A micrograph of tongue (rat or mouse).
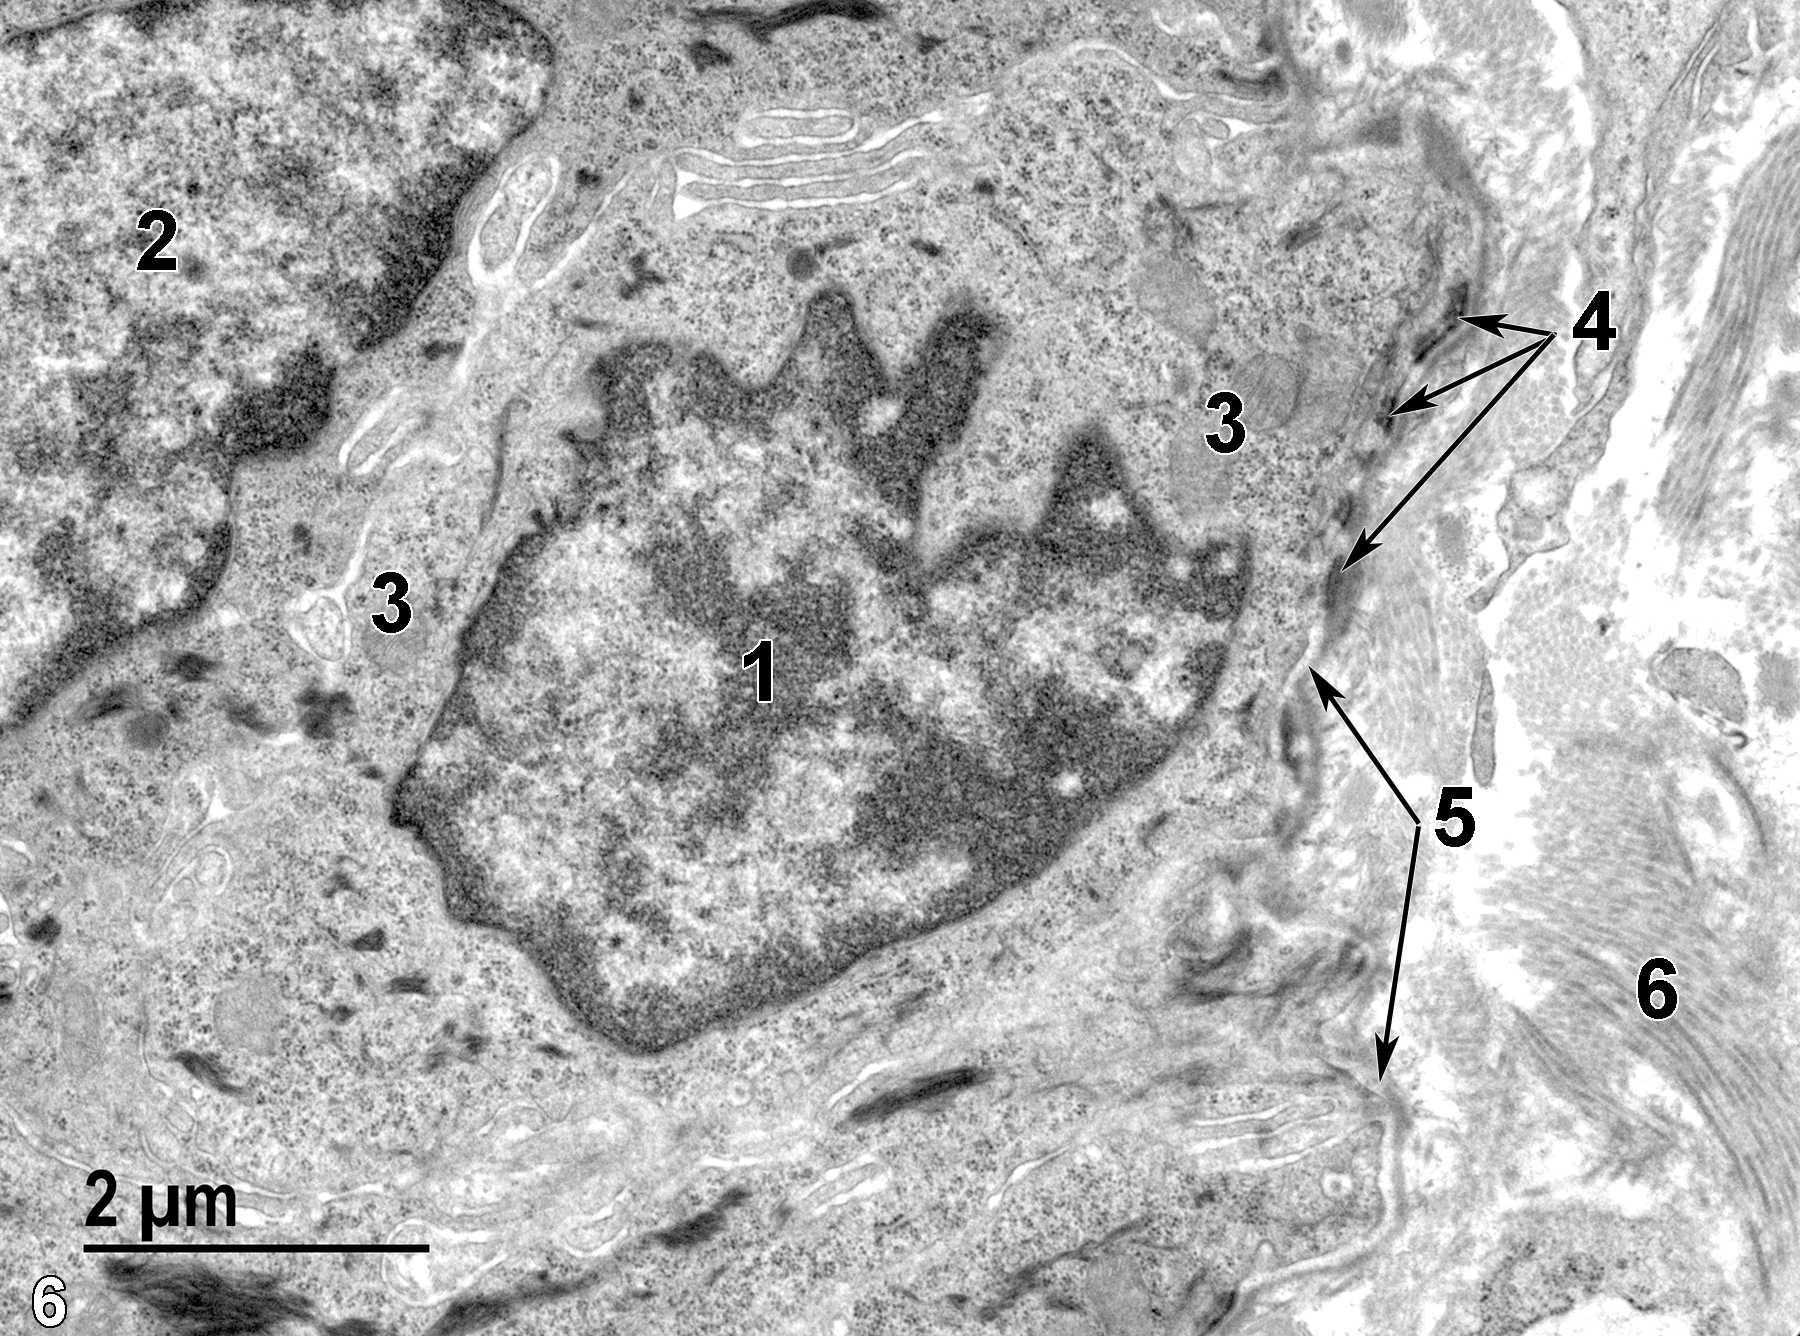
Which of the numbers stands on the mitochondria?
Number 3.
